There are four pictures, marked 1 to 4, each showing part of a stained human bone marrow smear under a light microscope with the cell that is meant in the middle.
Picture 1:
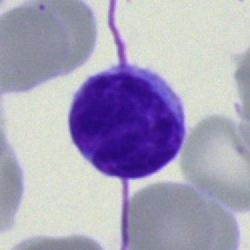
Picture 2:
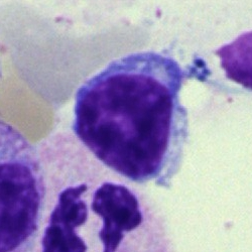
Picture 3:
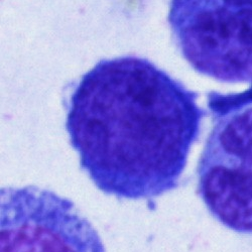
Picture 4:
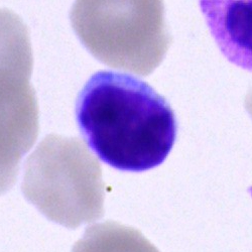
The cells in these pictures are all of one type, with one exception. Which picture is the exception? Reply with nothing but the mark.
3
